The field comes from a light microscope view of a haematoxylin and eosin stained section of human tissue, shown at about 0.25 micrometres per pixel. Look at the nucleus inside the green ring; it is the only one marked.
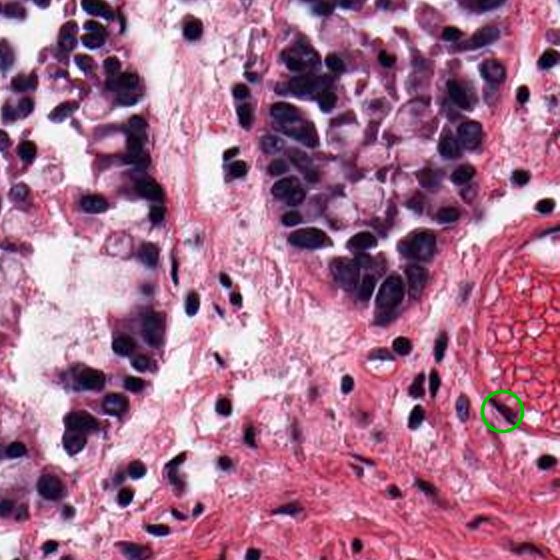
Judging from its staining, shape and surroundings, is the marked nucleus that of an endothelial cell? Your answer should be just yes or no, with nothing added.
yes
